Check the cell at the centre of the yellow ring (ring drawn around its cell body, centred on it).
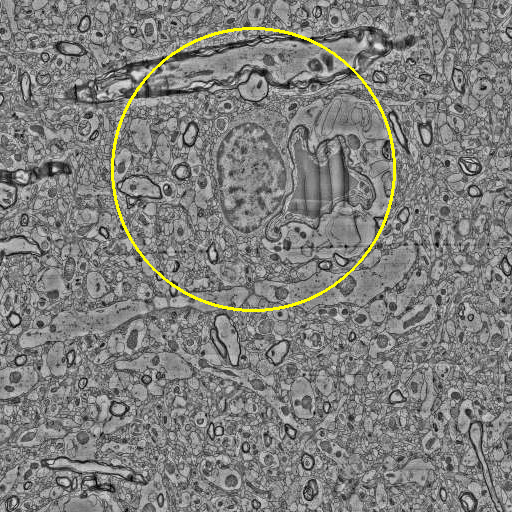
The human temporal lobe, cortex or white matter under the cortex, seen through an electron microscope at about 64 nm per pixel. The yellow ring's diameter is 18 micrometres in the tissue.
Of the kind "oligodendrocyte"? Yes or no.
yes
